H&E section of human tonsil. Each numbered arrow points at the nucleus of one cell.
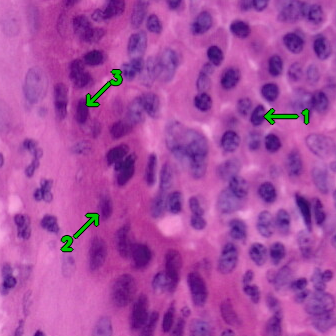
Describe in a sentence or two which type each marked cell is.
Cell 1 is a plasma cell, cell 2 is a squamous epithelial cell and cell 3 is a squamous epithelial cell.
